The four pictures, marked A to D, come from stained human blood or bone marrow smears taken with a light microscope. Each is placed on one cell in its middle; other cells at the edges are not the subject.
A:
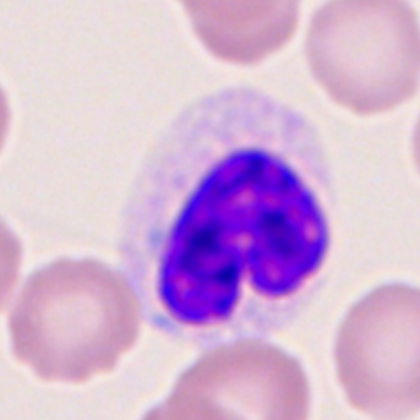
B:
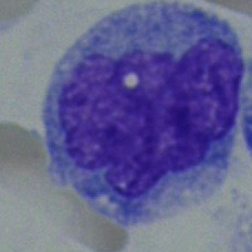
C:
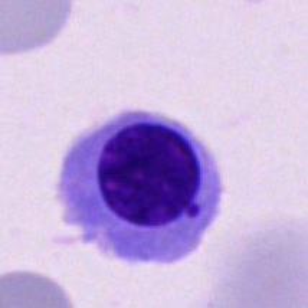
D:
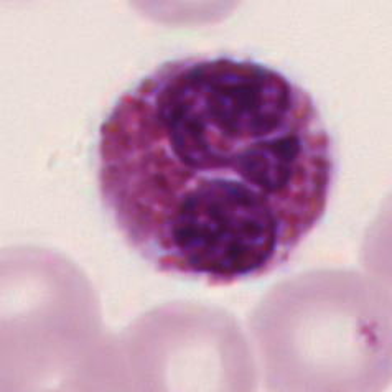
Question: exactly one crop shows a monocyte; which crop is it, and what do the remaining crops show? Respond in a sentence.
Crop B is where a monocyte is shown, whereas crop A is a band neutrophil, crop C is an erythroblast and crop D is an eosinophil.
